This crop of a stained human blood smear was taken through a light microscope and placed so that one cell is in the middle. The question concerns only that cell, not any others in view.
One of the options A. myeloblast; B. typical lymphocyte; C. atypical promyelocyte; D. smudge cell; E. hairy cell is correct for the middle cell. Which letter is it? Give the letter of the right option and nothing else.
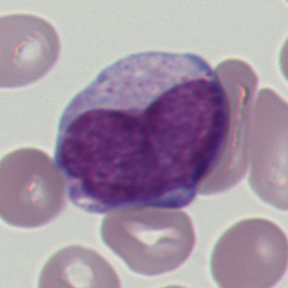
C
